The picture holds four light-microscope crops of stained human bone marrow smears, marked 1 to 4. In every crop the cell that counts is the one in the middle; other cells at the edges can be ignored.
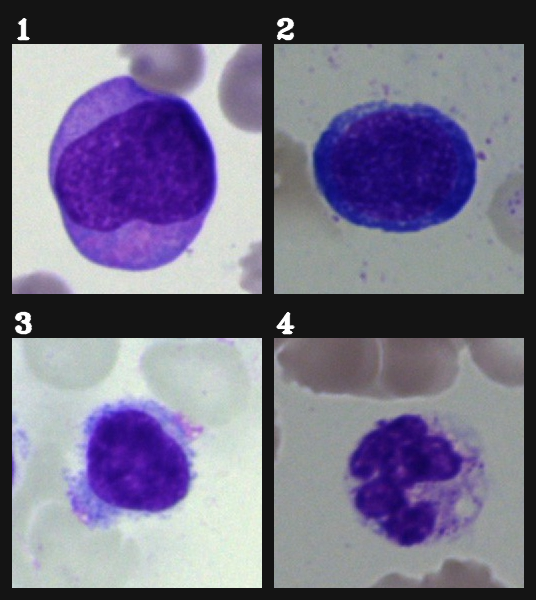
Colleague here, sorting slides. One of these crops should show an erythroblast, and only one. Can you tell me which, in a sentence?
The crop in which an erythroblast is shown is crop 2.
